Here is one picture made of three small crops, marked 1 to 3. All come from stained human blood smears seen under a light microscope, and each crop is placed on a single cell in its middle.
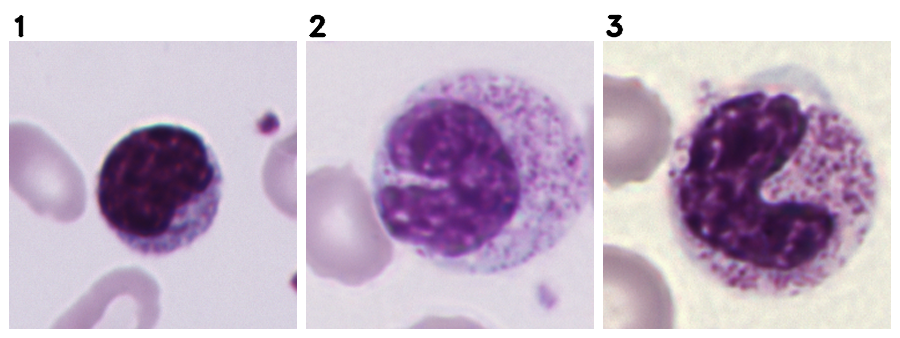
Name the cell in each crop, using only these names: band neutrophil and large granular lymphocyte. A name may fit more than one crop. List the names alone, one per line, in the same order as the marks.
large granular lymphocyte
band neutrophil
band neutrophil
